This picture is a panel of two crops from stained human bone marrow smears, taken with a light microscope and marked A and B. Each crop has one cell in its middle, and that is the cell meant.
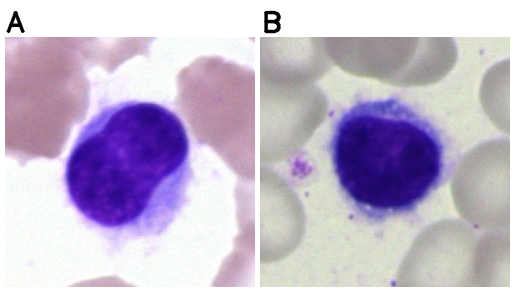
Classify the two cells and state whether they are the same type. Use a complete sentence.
Yes, these two crops both show hairy cells.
